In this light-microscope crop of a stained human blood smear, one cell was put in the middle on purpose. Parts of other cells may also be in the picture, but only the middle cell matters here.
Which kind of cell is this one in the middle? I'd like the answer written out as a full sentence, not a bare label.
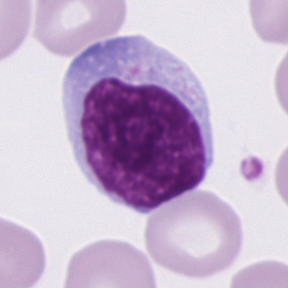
The target cell in the middle of the crop is a large granular lymphocyte.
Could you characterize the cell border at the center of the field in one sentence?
Smooth edges only, with no spikes, blebs, or other projections.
